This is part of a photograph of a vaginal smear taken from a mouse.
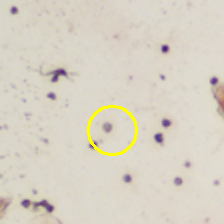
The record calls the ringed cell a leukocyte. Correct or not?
Correct; it is a leukocyte.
